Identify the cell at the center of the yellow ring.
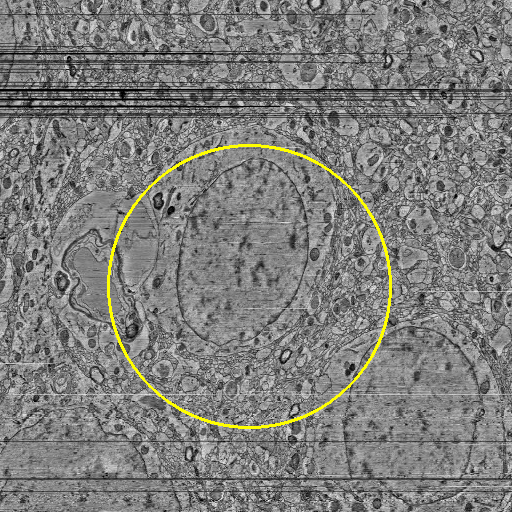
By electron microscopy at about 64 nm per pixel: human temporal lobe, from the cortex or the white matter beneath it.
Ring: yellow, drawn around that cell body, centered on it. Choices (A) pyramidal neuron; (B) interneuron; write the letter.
A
